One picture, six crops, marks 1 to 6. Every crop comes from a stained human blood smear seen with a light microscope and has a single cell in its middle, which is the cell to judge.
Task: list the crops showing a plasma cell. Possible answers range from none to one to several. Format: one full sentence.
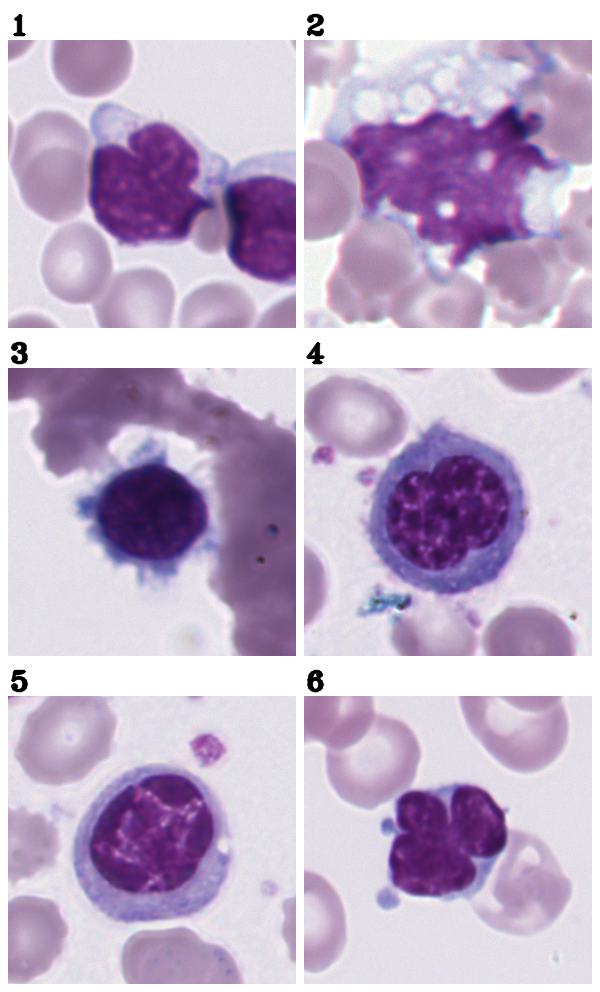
The middle cells in the crops marked 4 and 5 are plasma cells.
